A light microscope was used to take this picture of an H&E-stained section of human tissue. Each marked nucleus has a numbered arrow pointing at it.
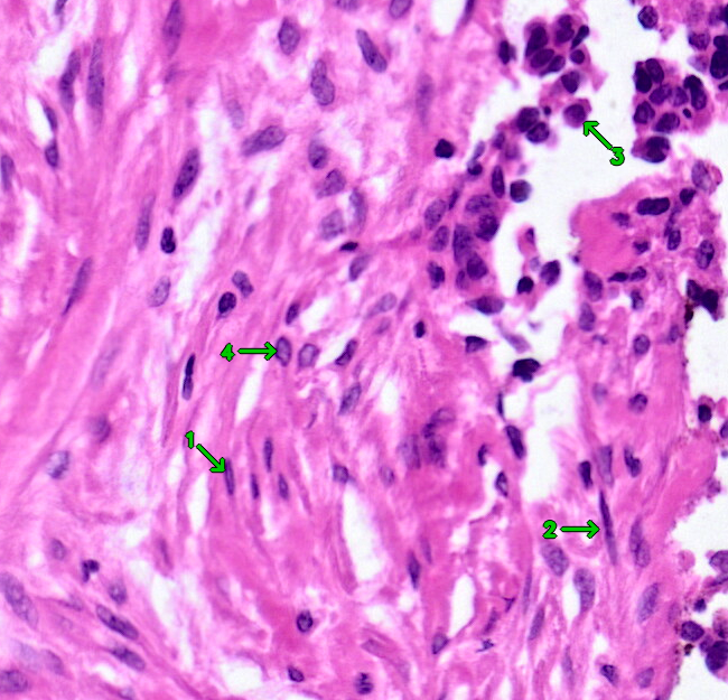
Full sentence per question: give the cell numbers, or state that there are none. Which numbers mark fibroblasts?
Cells 1, 2 and 4 are classified as fibroblasts.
